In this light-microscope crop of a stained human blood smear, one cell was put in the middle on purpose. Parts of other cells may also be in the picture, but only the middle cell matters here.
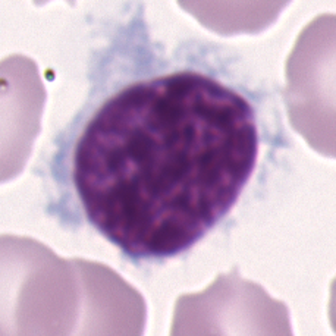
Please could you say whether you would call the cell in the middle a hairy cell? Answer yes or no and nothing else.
yes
